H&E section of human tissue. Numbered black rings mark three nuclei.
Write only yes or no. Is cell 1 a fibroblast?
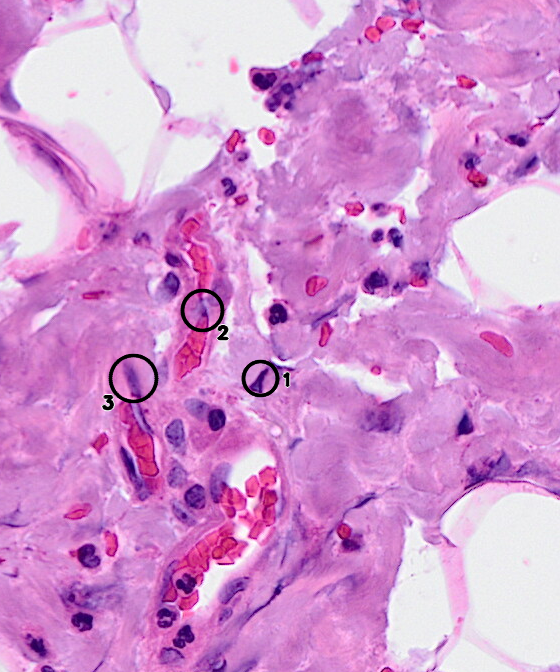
yes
